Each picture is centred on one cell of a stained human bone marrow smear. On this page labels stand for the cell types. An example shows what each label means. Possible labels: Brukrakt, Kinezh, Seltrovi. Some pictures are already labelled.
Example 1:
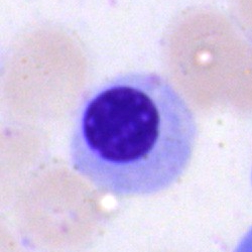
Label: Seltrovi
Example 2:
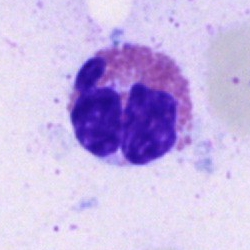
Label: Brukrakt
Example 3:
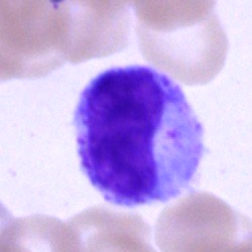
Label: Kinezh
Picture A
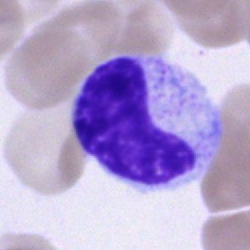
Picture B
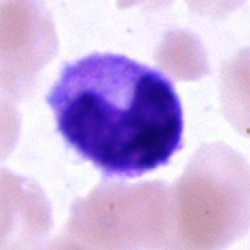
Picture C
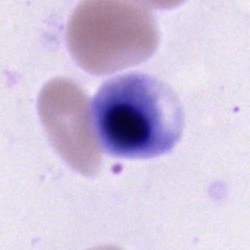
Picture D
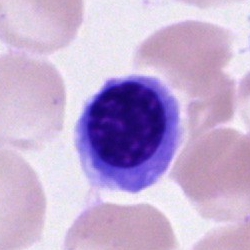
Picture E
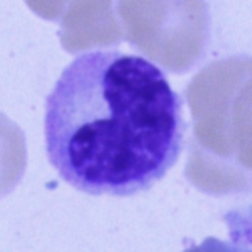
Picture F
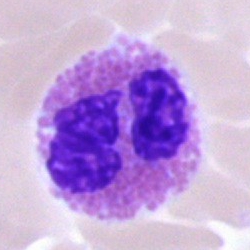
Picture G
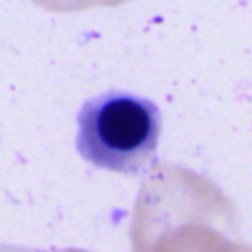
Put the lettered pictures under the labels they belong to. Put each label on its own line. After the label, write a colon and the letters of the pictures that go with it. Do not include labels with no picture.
Brukrakt: F
Kinezh: A, B, E
Seltrovi: C, D, G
